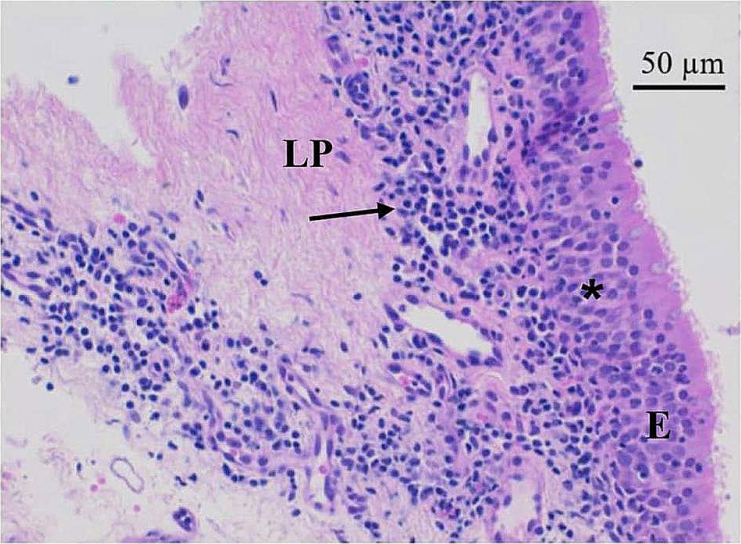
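This section of airway wall shows a markedly thickened surface epithelium over a lamina propria heavily infiltrated by inflammatory cells. The epithelium runs along the right edge and is many cell layers deep, its crowded oval purple nuclei packed beneath a pink luminal border. Directly beneath it, the superficial lamina propria is filled with sheets of small cells with round, dark-staining nuclei and scant cytoplasm, gathered around small vessels with open lumens. Further from the surface the connective tissue is pale pink and fibrillar with only scattered nuclei. The density of small round cells beneath the thickened epithelium is far beyond what a resting airway wall would show.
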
